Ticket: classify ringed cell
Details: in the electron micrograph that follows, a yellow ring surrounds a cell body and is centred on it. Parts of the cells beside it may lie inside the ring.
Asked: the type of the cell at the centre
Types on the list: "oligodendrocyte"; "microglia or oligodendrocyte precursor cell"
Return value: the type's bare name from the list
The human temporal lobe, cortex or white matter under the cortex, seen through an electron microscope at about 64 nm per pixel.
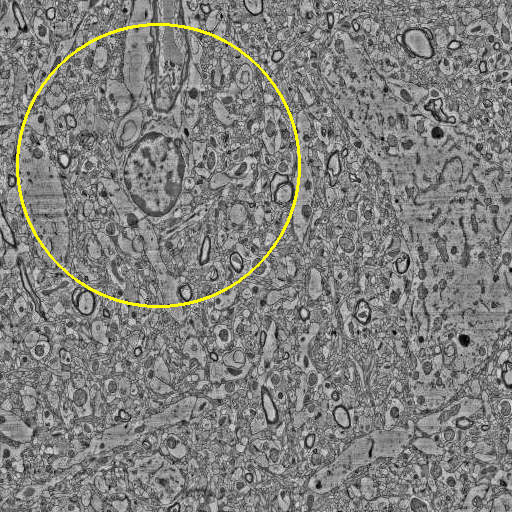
microglia or oligodendrocyte precursor cell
